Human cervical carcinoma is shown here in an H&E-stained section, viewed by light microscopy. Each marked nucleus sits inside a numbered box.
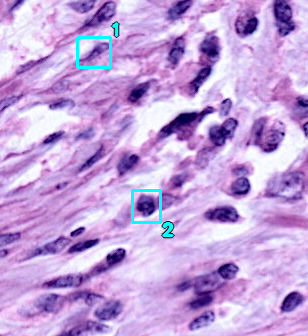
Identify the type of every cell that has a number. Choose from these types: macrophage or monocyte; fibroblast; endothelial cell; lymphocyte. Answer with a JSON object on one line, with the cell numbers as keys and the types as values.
{"1": "fibroblast", "2": "lymphocyte"}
